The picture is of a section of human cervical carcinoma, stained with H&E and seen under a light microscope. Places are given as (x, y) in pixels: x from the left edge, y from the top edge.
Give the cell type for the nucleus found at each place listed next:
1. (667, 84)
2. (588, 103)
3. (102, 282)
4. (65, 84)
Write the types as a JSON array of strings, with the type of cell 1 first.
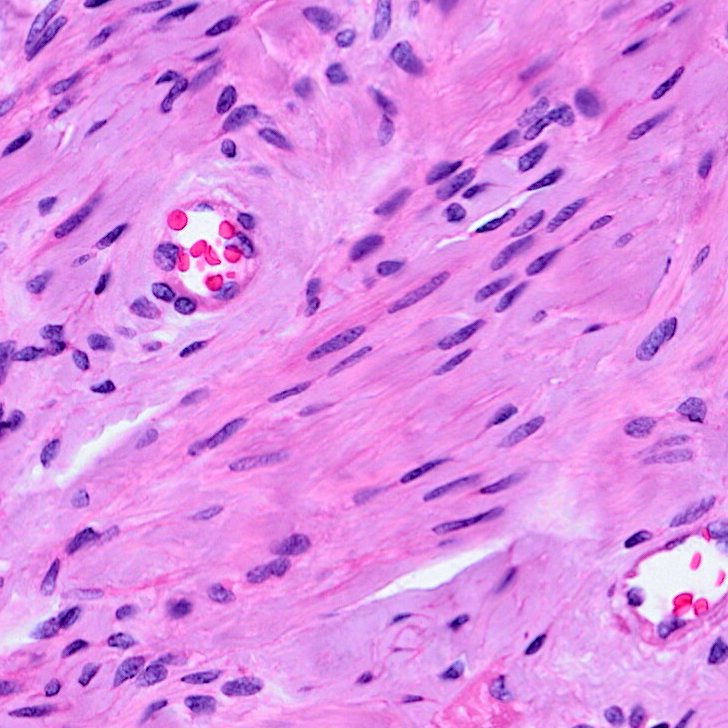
["fibroblast", "fibroblast", "fibroblast", "smooth muscle cell"]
